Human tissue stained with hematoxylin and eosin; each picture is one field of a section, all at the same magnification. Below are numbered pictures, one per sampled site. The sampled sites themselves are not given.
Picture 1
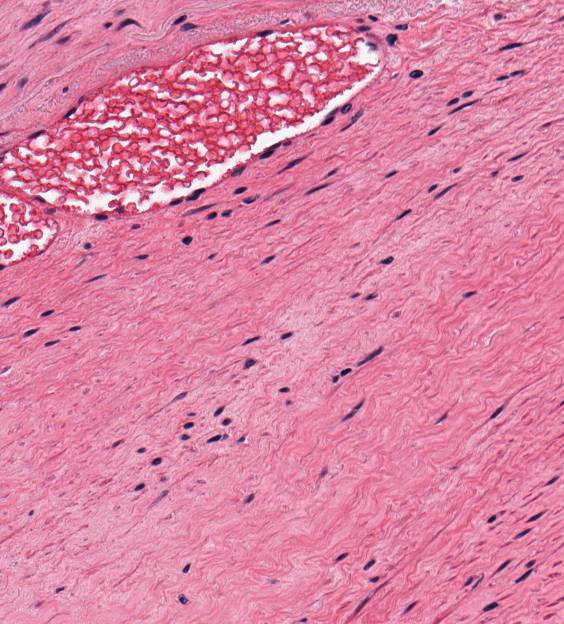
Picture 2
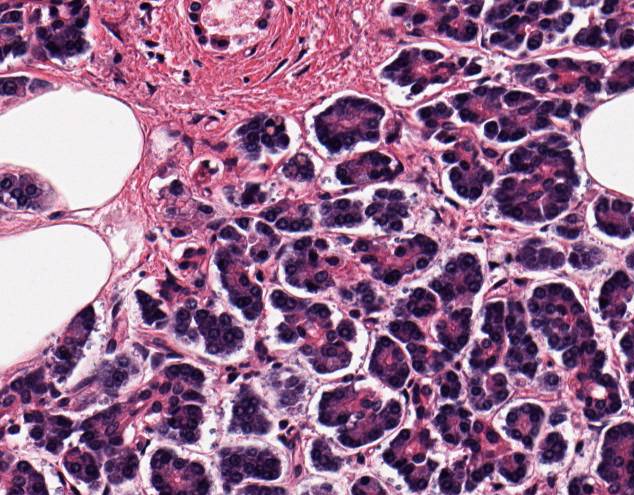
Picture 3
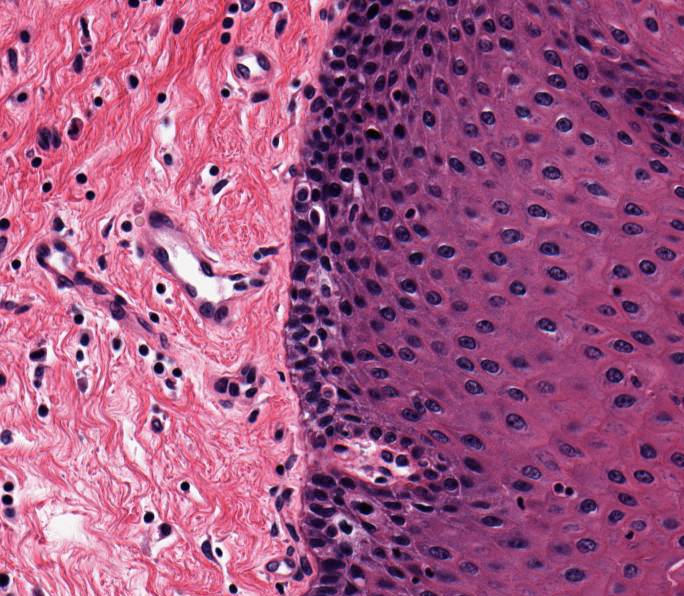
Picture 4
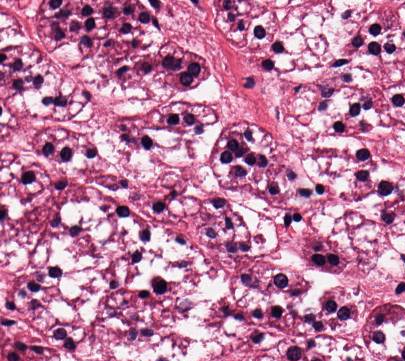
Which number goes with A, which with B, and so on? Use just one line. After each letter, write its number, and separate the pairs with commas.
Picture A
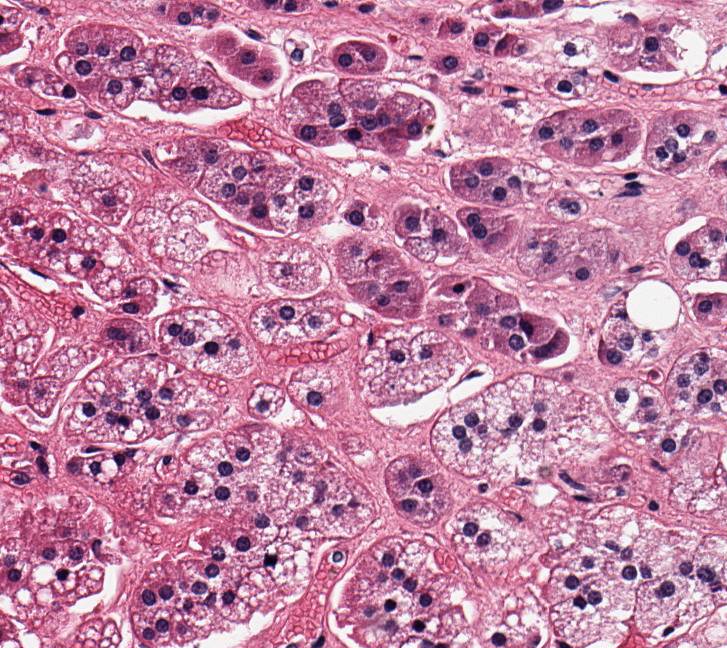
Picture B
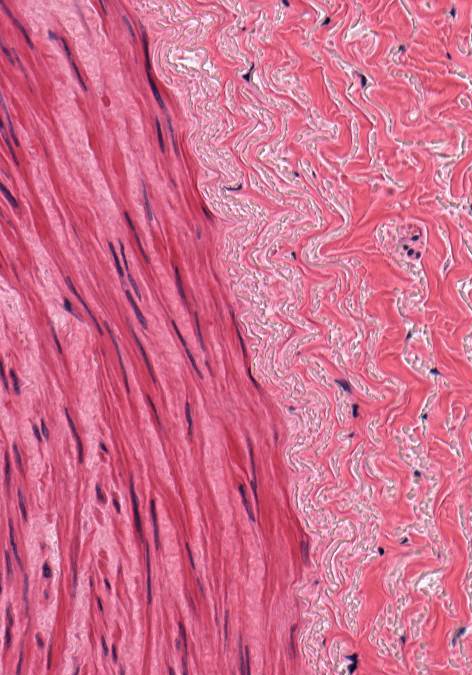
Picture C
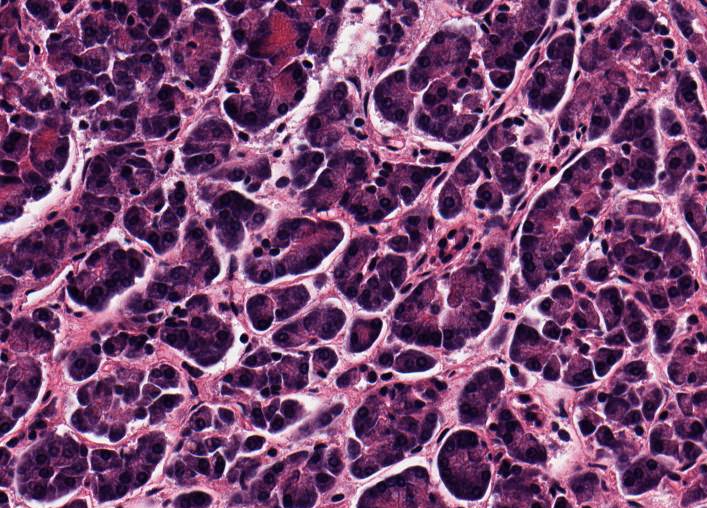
A 4, B 1, C 2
